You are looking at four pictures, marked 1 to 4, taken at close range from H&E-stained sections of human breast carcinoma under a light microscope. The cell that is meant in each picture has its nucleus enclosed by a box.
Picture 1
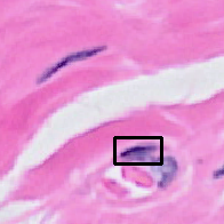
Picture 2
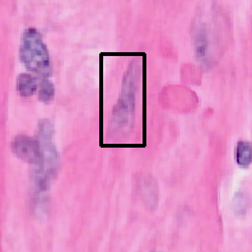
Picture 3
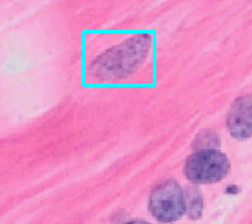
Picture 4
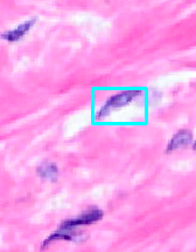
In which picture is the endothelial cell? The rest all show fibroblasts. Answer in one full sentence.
The cell in picture 1 is the endothelial cell.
